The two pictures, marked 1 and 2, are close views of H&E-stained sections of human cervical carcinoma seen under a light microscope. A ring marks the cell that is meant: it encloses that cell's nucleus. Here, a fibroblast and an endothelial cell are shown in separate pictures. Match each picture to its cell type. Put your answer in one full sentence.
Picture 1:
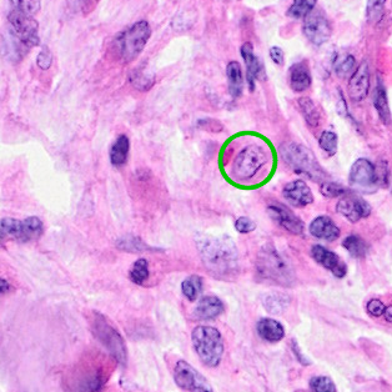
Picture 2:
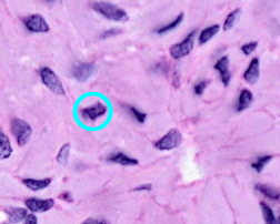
In picture 1 the cell is an endothelial cell; in picture 2, a fibroblast.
